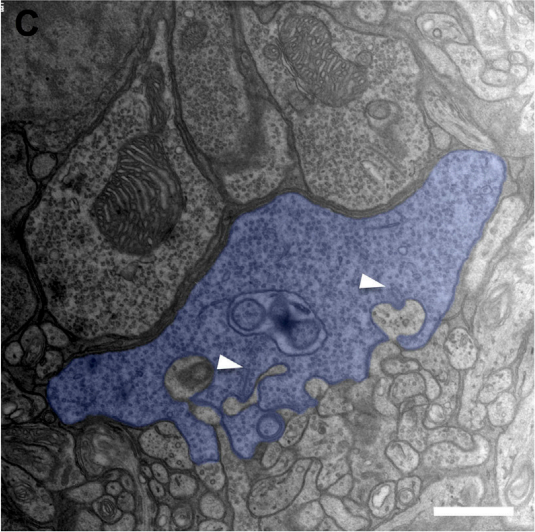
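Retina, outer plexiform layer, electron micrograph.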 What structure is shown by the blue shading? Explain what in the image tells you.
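The blue-shaded terminal is large and broad and full of small vesicles. Its lower border has many invaginations and contacts with small profiles.
Hence: Cone pedicles.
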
